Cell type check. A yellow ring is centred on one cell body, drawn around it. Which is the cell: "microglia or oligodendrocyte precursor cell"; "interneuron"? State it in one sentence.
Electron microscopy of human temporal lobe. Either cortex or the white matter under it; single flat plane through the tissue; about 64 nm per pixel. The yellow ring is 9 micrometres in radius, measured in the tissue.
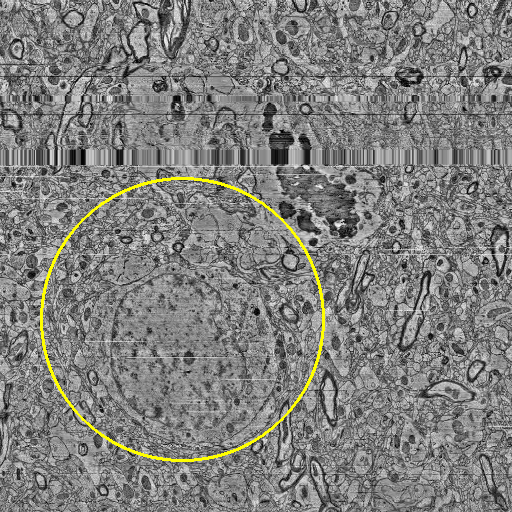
The cell body at the ring's centre belongs to an interneuron.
